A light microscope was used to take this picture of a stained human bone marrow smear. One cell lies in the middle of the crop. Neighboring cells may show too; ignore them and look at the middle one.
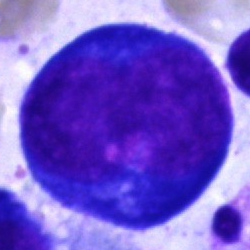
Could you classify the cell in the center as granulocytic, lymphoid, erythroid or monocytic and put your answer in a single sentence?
Lineage-wise, the cell in the center of the crop is erythroid.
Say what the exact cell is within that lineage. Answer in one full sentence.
In this smear crop, the middle cell is a proerythroblast.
